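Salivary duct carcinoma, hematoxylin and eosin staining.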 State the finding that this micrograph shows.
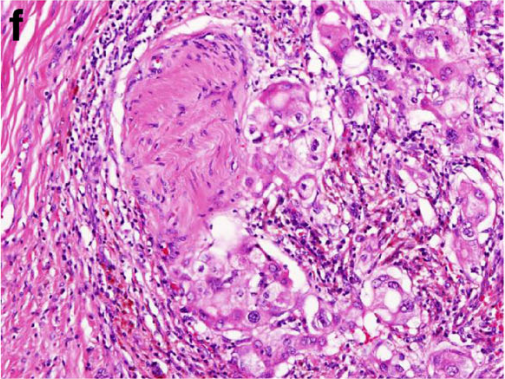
Perineural invasion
